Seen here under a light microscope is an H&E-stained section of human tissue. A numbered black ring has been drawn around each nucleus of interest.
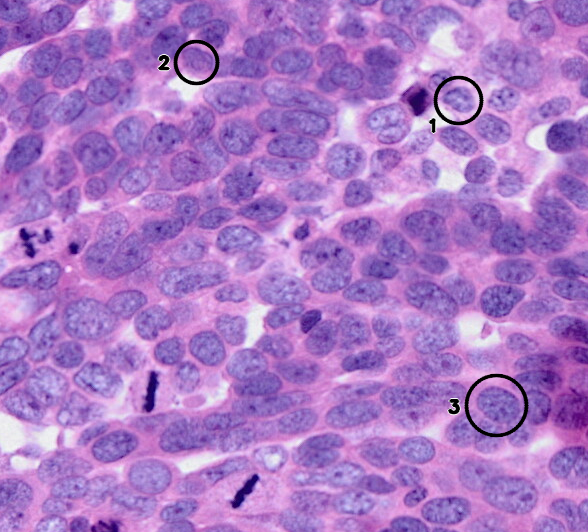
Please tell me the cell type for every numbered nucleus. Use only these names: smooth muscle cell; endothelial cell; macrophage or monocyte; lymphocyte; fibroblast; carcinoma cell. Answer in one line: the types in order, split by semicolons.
macrophage or monocyte; carcinoma cell; carcinoma cell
